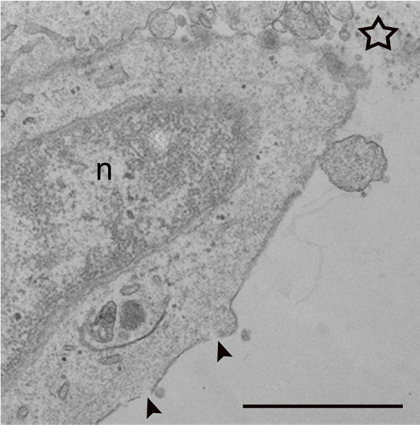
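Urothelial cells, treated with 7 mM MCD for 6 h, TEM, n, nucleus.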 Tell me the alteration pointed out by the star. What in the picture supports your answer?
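Near the star the cell border is broken up into scattered vesicles and debris. Material from the cell lies loose in the surrounding space.
Hence: Necrotic changes.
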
